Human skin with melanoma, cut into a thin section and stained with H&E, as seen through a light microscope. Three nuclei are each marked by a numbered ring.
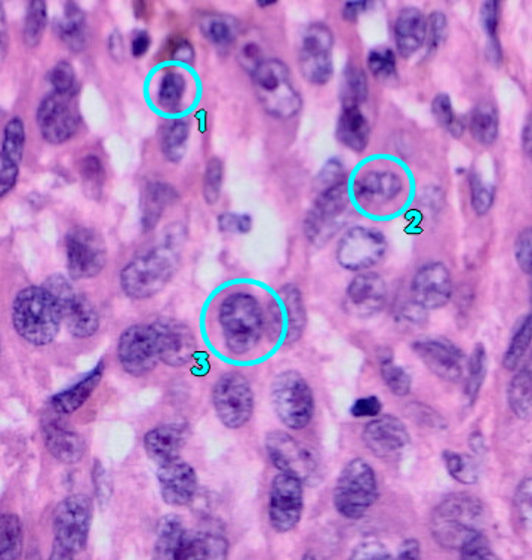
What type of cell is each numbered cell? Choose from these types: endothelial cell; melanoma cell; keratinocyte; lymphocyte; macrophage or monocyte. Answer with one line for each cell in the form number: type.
1: lymphocyte
2: melanoma cell
3: melanoma cell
